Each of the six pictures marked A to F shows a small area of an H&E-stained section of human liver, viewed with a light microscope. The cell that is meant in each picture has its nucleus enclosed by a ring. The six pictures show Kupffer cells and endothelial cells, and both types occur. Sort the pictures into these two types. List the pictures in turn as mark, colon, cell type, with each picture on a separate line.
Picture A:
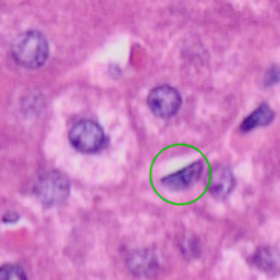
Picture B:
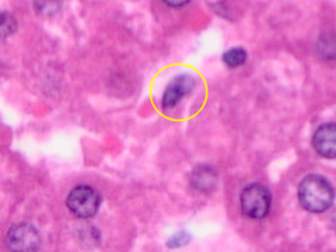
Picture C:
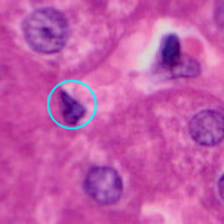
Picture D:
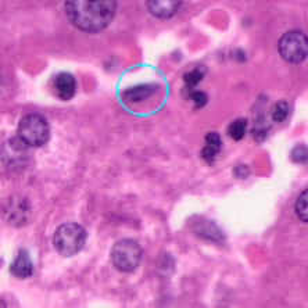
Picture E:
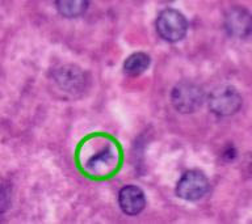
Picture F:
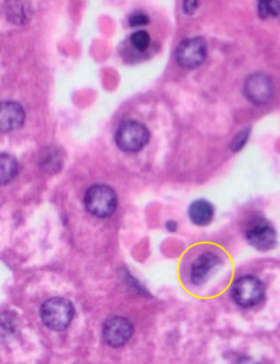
A: endothelial cell
B: Kupffer cell
C: endothelial cell
D: endothelial cell
E: endothelial cell
F: Kupffer cell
